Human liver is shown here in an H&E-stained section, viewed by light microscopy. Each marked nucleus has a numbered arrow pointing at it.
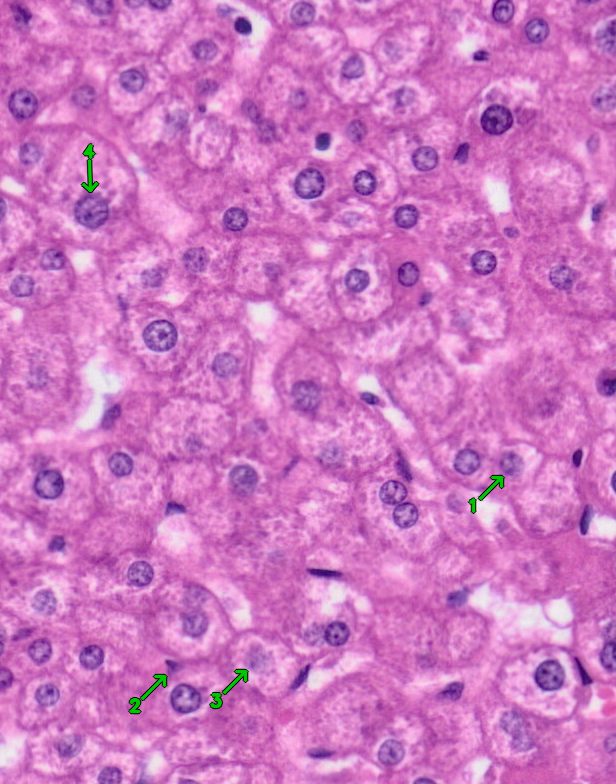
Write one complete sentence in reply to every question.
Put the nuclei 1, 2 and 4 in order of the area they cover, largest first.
Going from the biggest nucleus down to the smallest gives 4, 1, 2.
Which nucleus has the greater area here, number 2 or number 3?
It is nucleus 3, which covers about 2 times the area of nucleus 2.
